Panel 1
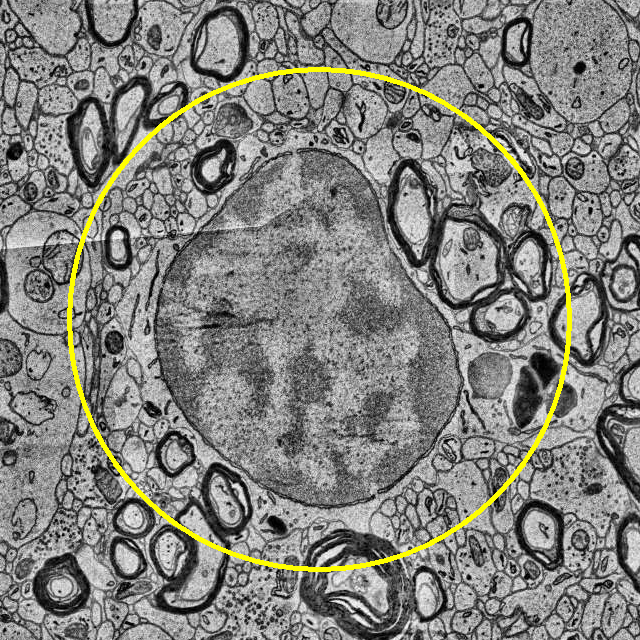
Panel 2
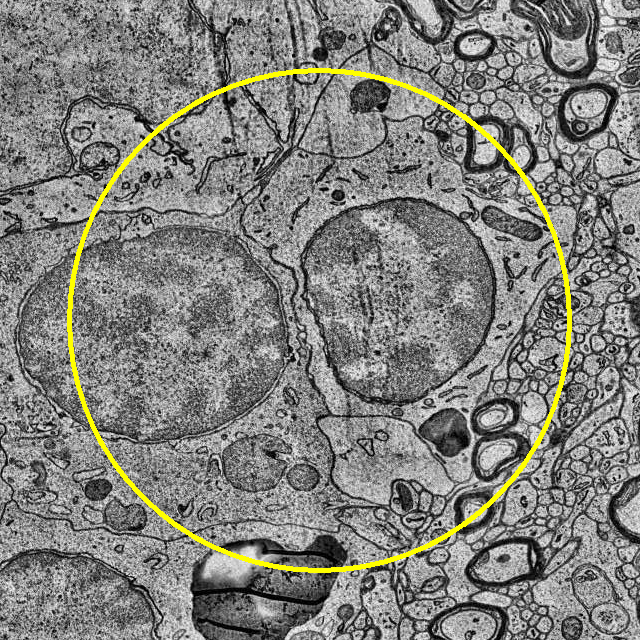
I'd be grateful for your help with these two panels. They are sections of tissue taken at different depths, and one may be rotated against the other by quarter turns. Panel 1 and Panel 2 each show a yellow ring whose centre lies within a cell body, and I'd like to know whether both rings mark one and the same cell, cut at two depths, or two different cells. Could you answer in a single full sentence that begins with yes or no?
No, each yellow ring marks its own cell.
